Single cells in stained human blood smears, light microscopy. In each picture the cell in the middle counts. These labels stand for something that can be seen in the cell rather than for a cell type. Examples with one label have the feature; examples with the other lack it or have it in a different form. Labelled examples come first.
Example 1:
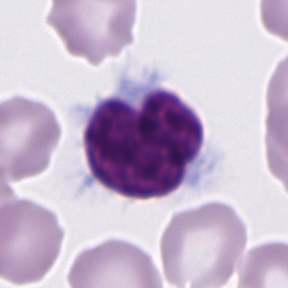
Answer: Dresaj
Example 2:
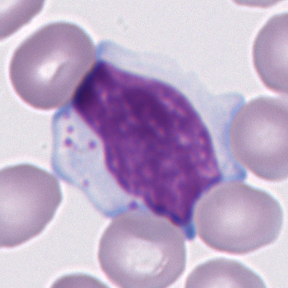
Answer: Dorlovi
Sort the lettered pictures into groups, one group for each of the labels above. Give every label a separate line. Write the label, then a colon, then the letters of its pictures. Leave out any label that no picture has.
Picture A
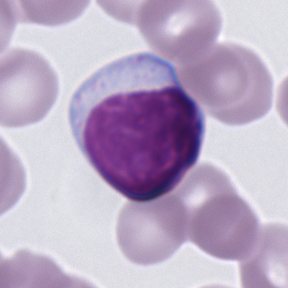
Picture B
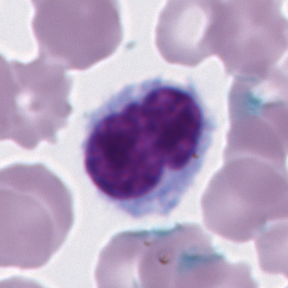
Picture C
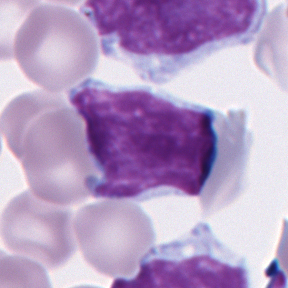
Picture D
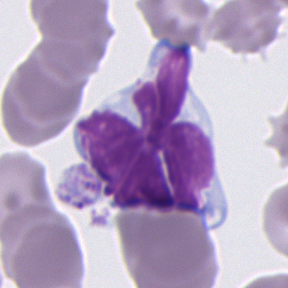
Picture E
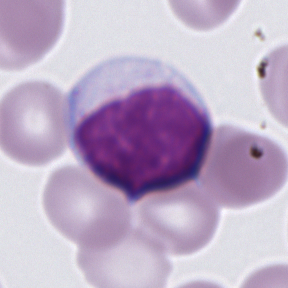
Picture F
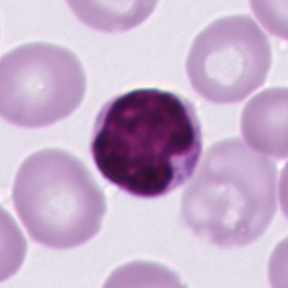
Dresaj: B, D
Dorlovi: A, C, E, F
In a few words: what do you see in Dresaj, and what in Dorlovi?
Dresaj, lobed nucleus; Dorlovi, single compact nucleus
